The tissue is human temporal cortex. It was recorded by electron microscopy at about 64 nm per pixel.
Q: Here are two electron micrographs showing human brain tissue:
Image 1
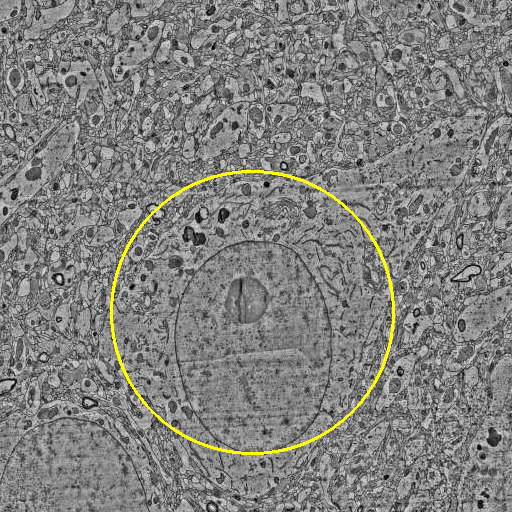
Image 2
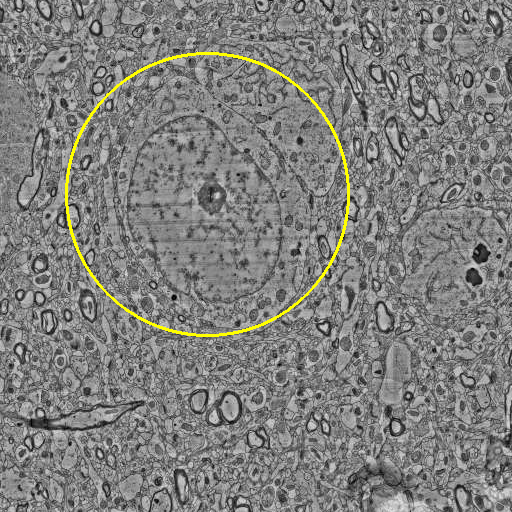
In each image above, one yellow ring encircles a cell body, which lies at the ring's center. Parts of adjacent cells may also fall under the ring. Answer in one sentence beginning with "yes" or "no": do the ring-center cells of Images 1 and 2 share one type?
No, in Images 1 and 2, the ring-center cells are of two types.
